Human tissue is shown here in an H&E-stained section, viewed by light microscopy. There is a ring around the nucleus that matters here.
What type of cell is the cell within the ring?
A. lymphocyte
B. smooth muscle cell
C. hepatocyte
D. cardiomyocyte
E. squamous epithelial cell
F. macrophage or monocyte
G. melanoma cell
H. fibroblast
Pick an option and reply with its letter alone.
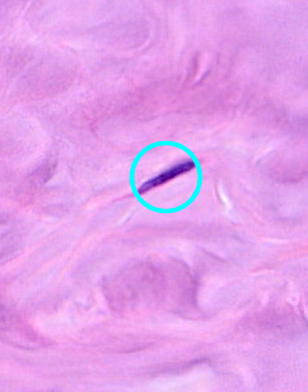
H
